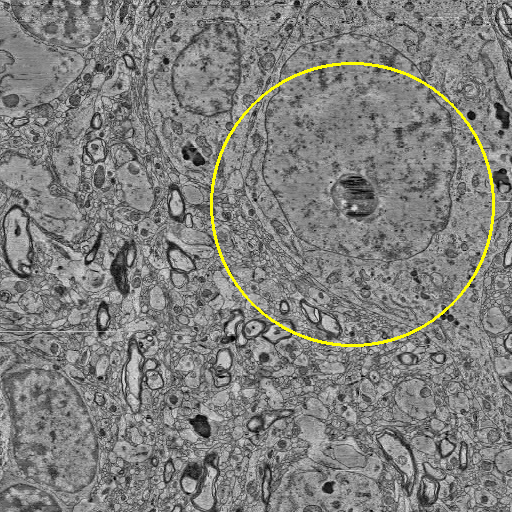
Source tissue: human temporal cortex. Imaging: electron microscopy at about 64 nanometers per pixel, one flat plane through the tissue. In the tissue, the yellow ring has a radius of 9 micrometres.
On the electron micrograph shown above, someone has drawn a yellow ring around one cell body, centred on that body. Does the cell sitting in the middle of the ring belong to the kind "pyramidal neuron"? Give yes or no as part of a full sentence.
Yes, the cell located in the middle of the ring in the micrograph is of that kind.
